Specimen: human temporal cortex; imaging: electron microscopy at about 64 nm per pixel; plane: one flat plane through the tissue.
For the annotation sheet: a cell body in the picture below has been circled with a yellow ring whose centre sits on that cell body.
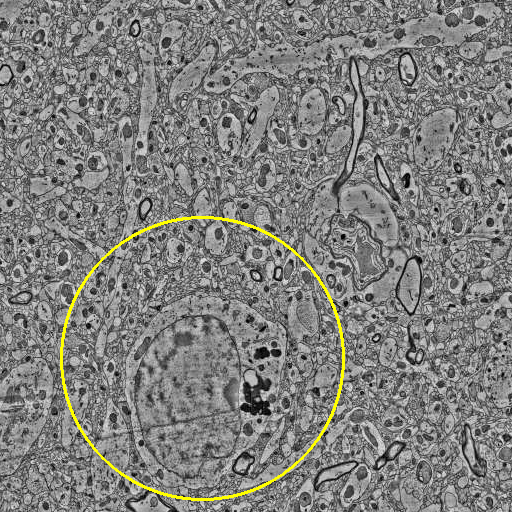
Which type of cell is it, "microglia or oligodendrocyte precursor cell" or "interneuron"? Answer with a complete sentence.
The circled cell is an interneuron.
